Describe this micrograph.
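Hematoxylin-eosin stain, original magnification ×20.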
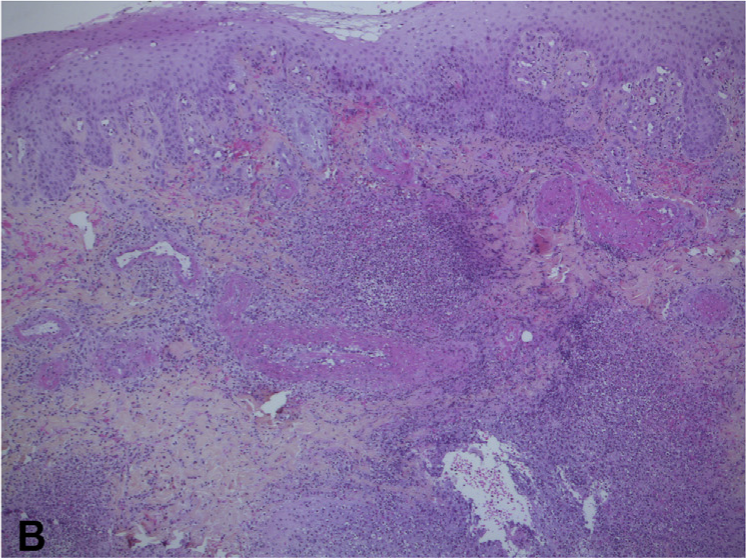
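This is skin, with a thickened stratified squamous epidermis across the top whose pink cell layers push irregular pegs down into the dermis. Below it, the dermis is crowded by a dense inflammatory infiltrate, seen as sheets of small, dark purple nuclei that are heaviest in the centre and lower right. Between the cell-rich areas lie pale, oedematous-looking pink stroma and small, dilated vessels, one of them containing red blood cells.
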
